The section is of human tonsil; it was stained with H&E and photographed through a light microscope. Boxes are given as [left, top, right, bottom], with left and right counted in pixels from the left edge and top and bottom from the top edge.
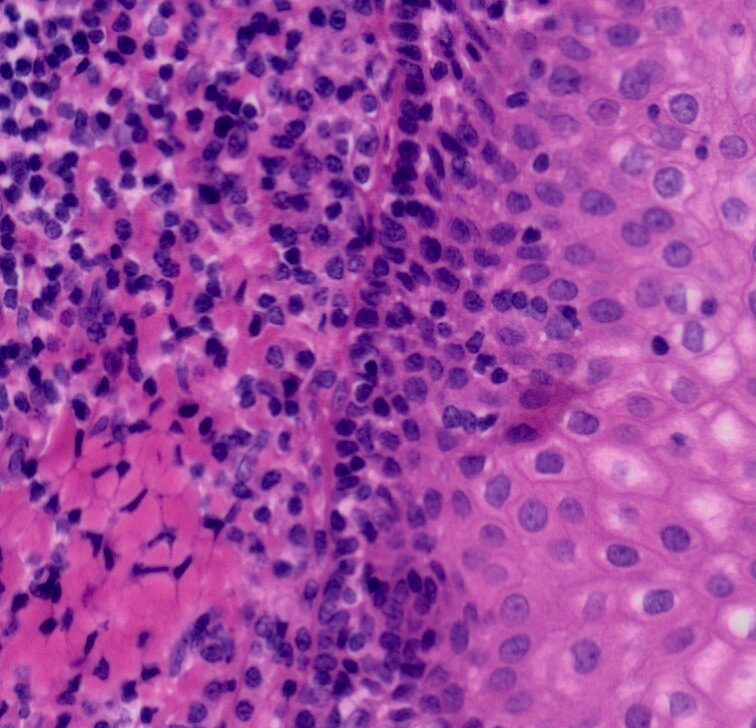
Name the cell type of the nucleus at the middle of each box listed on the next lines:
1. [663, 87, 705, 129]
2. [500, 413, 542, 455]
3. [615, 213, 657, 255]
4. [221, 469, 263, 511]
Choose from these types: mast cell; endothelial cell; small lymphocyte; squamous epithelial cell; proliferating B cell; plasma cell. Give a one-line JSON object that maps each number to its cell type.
{"1": "squamous epithelial cell", "2": "squamous epithelial cell", "3": "squamous epithelial cell", "4": "plasma cell"}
